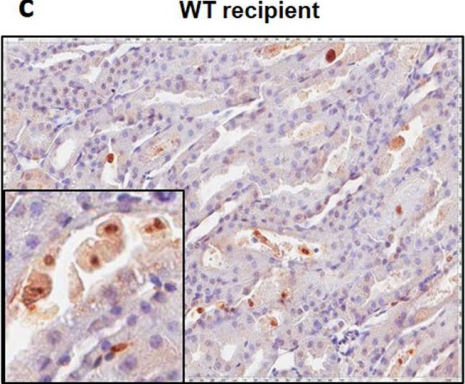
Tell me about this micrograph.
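Kidney tissue with obliquely cut tubules lined by epithelial cells with round blue nuclei. Scattered epithelial cells show nuclei stained dark brown, some within the tubule walls and some lying in the lumina. Several tubules have open, slit-like lumina, and faint light brown background tone is seen in some tubular cytoplasm. The enlarged inset at lower left shows a small group of rounded cells with brown nuclei lying free in a tubule lumen.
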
